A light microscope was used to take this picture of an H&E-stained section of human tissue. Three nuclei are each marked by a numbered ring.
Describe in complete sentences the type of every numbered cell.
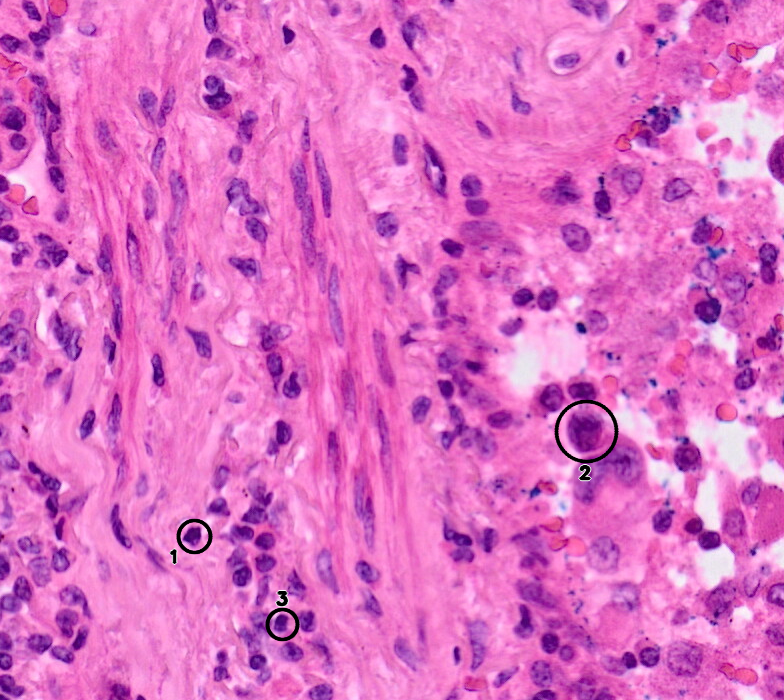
Cells 1 and 3 are lymphocytes. Cell 2 is a carcinoma cell.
